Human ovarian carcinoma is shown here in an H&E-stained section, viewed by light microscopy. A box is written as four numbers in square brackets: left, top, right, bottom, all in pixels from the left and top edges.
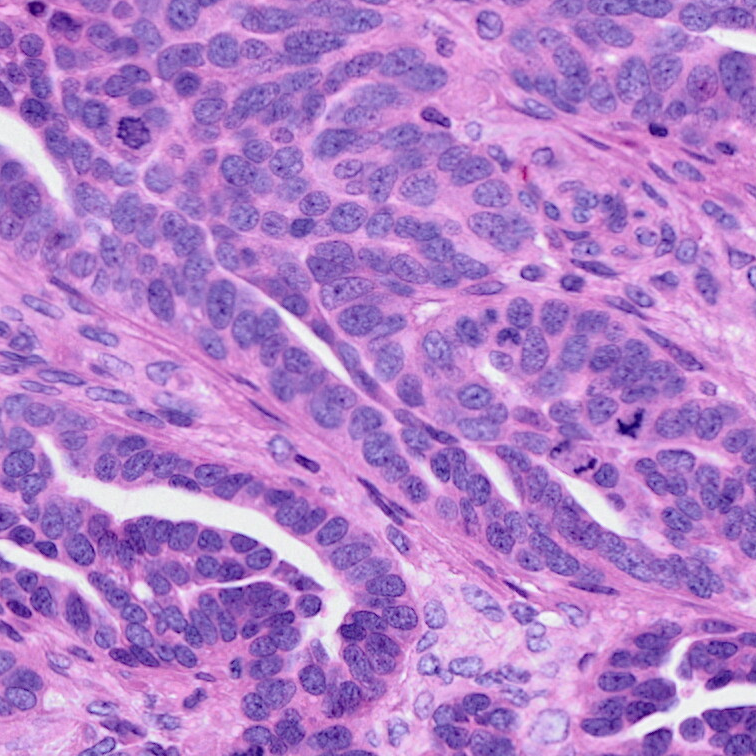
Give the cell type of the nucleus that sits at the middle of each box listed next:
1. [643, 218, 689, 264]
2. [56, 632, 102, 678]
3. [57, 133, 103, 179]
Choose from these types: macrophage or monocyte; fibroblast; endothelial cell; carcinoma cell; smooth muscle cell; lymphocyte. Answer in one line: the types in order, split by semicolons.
fibroblast; fibroblast; carcinoma cell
